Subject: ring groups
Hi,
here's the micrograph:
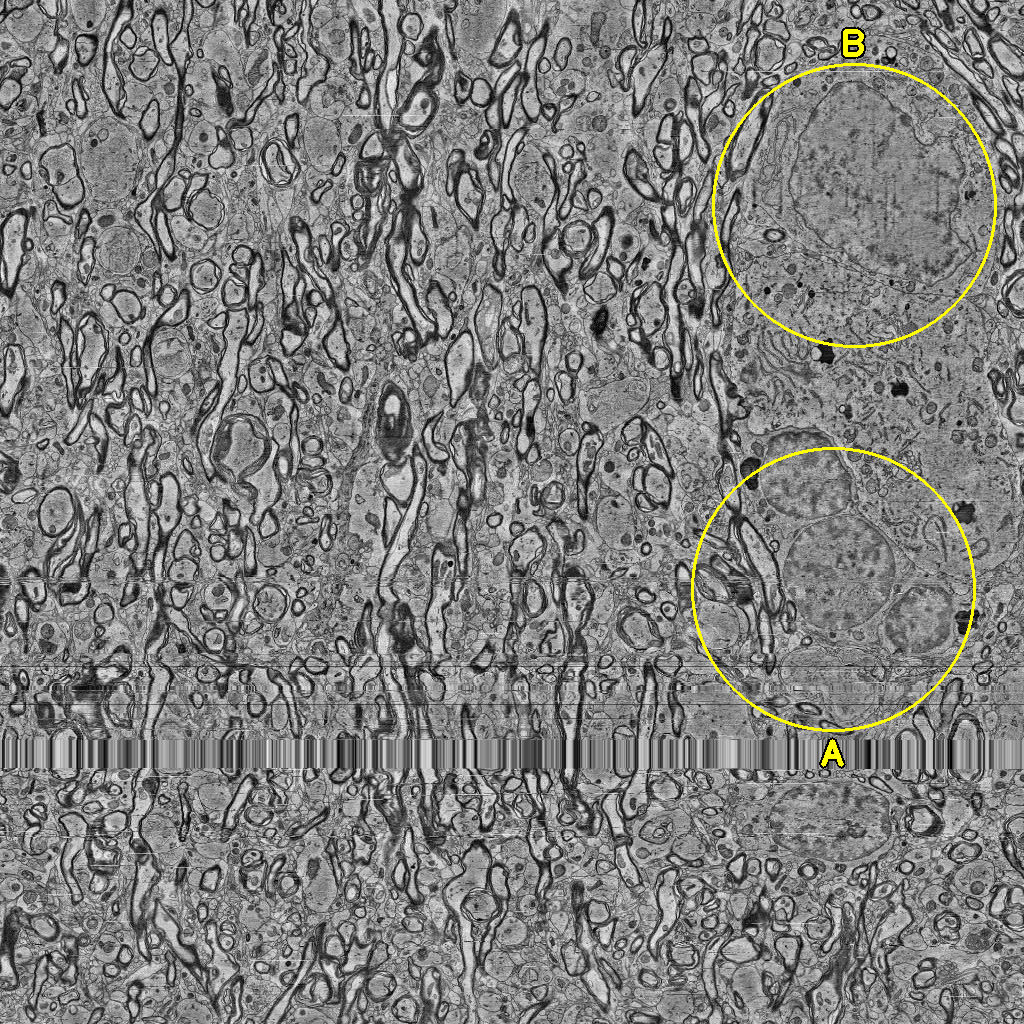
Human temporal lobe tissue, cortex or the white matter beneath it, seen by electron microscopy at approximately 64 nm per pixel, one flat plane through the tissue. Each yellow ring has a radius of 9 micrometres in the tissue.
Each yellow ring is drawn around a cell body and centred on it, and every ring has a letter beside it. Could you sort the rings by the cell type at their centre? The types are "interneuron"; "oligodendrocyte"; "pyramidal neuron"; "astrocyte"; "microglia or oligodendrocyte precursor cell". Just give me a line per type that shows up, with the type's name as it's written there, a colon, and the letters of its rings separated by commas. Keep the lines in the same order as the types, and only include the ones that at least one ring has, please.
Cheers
interneuron: B
oligodendrocyte: A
